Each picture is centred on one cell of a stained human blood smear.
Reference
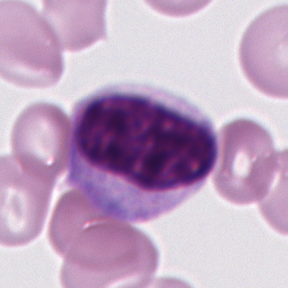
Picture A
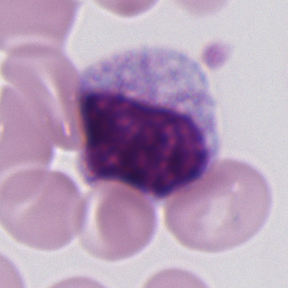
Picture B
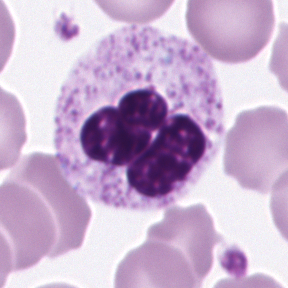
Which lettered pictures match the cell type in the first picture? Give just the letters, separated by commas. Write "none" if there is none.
A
